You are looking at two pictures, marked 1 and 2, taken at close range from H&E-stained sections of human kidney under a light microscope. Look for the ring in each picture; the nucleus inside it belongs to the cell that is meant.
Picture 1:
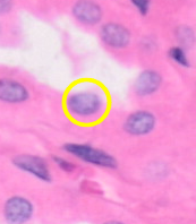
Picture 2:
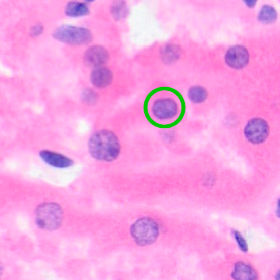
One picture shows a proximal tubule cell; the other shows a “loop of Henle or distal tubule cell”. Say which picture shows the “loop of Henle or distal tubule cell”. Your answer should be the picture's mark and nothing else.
1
